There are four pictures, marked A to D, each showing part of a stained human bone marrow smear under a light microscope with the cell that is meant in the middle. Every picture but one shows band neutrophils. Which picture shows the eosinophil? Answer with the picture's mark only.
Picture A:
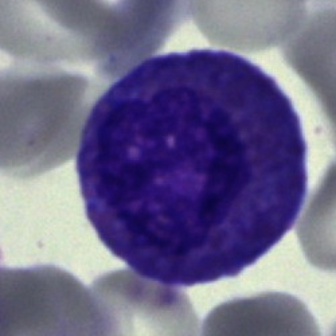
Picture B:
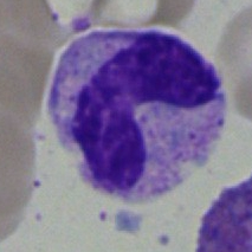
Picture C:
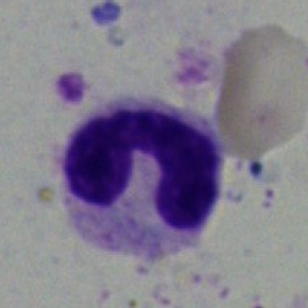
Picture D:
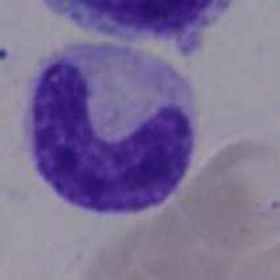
A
